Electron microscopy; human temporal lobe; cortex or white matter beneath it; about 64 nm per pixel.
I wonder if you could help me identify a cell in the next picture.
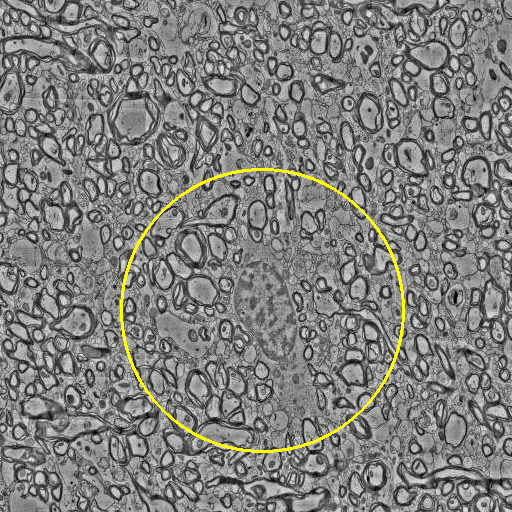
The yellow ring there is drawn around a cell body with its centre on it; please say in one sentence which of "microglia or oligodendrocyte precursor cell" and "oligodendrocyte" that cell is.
The yellow ring is centred on an oligodendrocyte.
